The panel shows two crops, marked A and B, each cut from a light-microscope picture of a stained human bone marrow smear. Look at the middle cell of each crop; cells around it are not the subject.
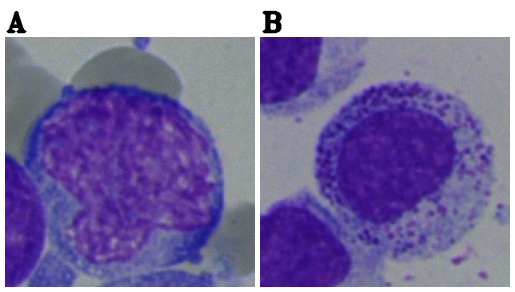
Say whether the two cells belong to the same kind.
no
